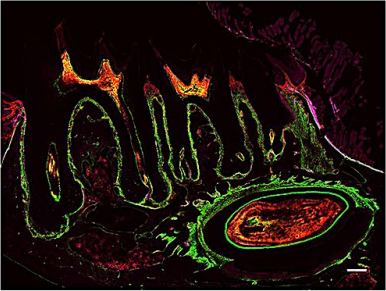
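A section through the jaw shows a row of molars whose pulp chambers under the cusps glow orange-red, with green lining outlining the roots and surrounding ligament. Below the molars, an oval cross-section of the incisor has a red pulp ringed by a bright green band.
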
